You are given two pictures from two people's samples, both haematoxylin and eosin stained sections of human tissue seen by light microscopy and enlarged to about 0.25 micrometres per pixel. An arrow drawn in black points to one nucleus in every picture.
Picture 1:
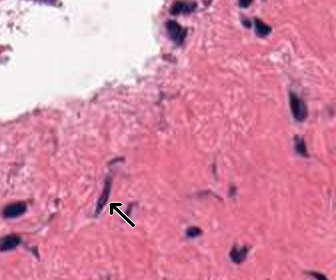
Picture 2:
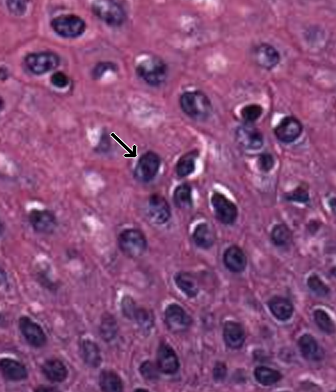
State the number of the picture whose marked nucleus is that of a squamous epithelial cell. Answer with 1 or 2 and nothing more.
2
